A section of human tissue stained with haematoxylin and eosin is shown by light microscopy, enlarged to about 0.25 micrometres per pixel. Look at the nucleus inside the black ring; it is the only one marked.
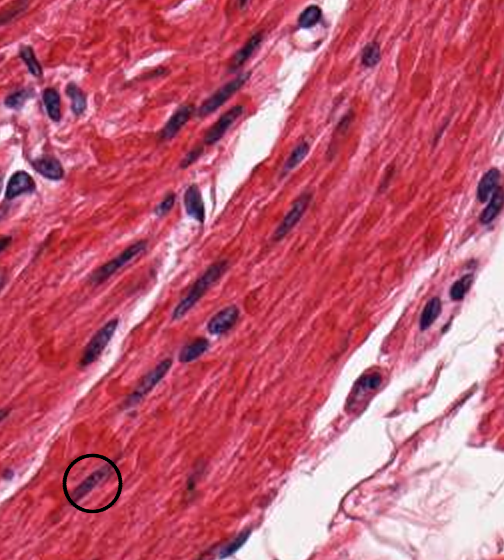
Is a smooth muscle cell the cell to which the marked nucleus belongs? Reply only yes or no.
yes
